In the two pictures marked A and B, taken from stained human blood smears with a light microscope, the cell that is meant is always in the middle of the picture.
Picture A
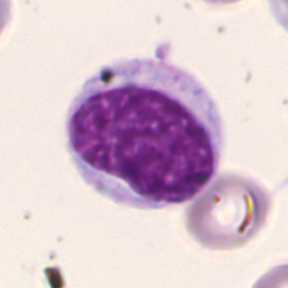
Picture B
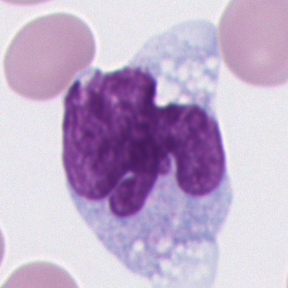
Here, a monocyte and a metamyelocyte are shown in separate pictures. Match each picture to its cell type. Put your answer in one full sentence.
Picture A shows a metamyelocyte and picture B shows a monocyte.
